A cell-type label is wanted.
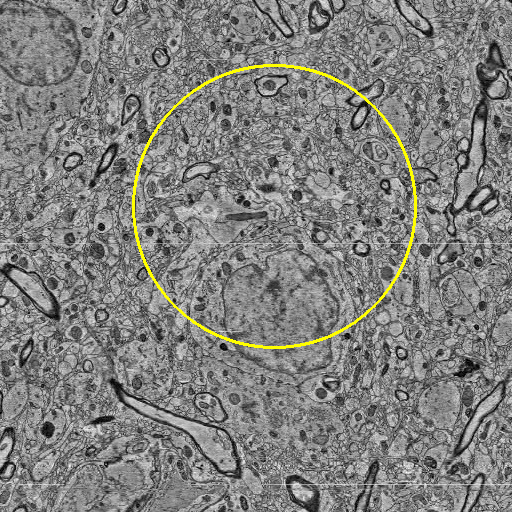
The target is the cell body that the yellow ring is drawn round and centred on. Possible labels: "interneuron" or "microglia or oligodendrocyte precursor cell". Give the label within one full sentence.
Of the labels offered, the cell in the middle of the yellow ring is a microglial cell or oligodendrocyte precursor cell.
